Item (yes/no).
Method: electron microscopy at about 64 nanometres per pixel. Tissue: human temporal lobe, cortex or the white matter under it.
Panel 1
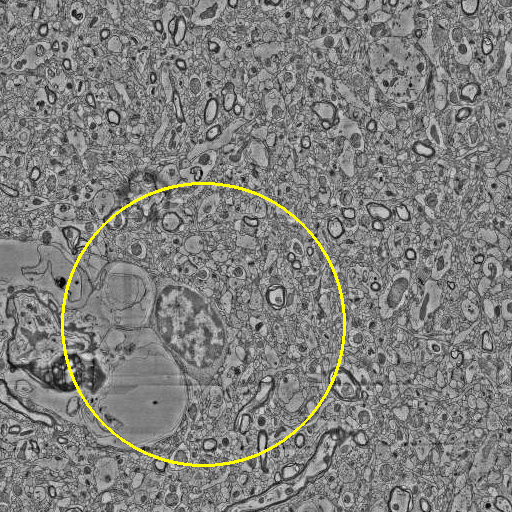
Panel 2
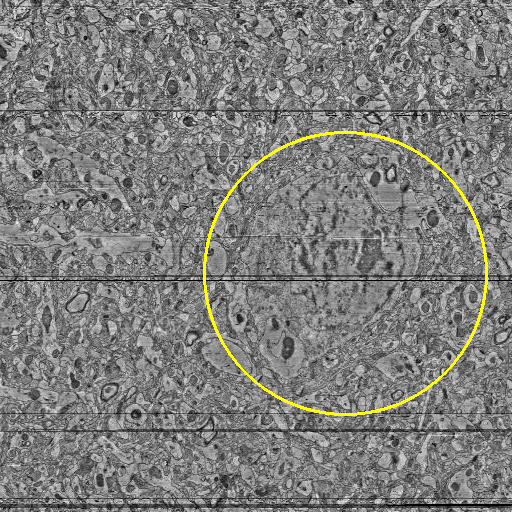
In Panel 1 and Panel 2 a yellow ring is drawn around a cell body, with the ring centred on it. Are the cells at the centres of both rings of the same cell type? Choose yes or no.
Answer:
no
